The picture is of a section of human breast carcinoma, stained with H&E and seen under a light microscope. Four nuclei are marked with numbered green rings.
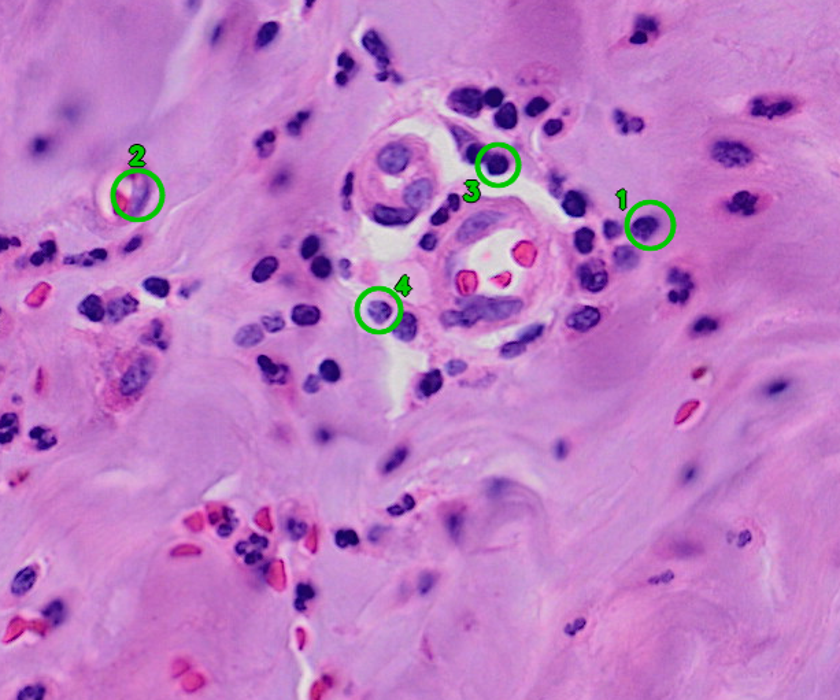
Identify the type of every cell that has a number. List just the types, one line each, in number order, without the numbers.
lymphocyte
endothelial cell
lymphocyte
lymphocyte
